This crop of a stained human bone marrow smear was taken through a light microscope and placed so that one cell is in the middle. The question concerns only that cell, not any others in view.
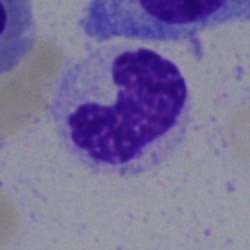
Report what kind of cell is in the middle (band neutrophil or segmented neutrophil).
band neutrophil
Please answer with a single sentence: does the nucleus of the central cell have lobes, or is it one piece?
If you check the nucleus, you will find one compact mass, round, oval or kidney-shaped.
